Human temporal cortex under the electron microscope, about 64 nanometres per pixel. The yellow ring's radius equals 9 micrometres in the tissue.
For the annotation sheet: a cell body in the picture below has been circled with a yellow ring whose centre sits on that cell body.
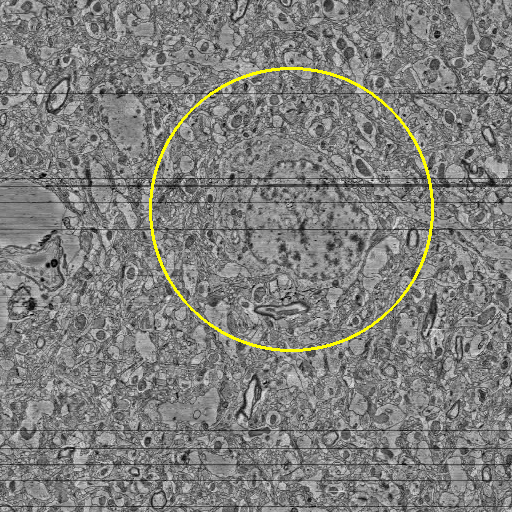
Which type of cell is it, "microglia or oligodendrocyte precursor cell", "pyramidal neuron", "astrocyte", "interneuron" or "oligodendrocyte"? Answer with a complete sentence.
The circled cell is an interneuron.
